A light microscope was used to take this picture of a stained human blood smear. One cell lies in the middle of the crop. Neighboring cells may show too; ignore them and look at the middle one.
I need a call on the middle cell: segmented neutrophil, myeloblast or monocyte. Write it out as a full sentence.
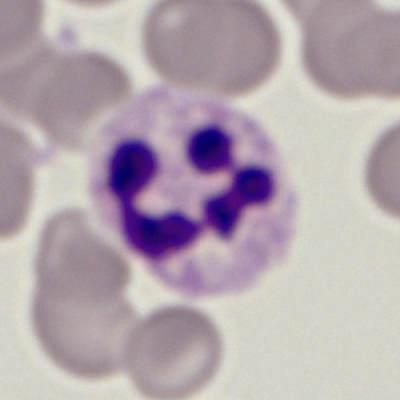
The cell centred in this crop is categorized as a segmented neutrophil.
